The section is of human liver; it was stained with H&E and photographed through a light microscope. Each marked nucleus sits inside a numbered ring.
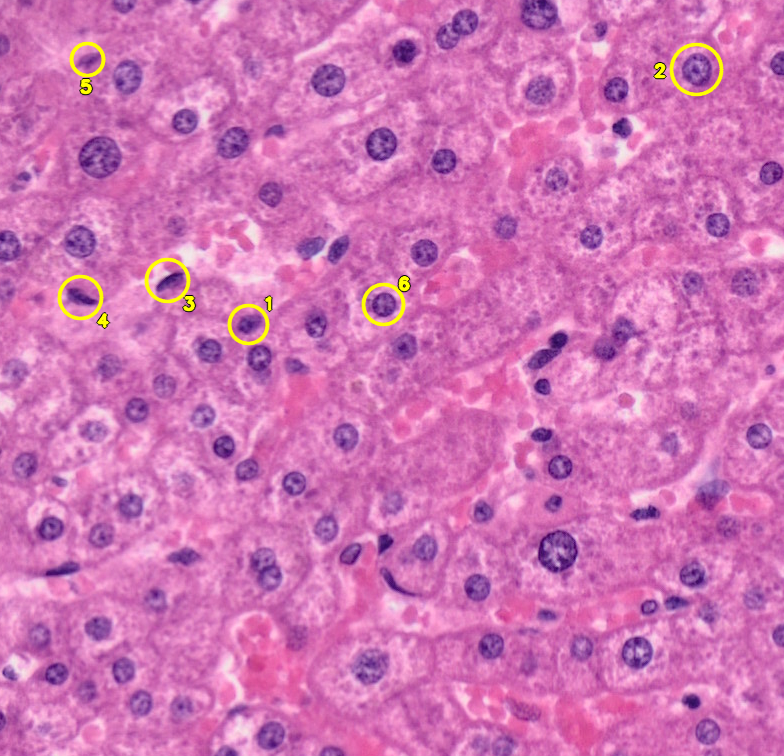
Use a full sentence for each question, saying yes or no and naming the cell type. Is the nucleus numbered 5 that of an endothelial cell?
Yes, cell number 5 is identified here as an endothelial cell.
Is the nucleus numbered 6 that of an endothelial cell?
No, the cell given number 6 is a hepatocyte, not an endothelial cell.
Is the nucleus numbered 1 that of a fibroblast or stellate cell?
Yes, in this tissue section, number 1 is a fibroblast or stellate cell.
